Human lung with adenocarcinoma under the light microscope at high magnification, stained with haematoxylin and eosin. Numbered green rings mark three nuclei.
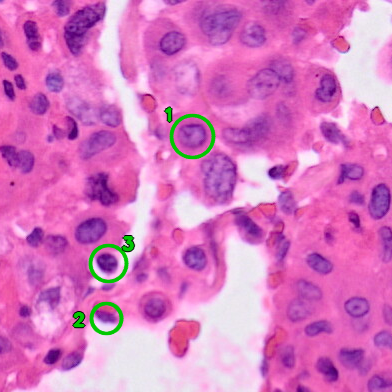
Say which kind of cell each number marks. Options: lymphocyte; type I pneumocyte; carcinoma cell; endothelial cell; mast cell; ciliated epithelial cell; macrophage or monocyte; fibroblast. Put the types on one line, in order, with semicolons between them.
macrophage or monocyte; endothelial cell; lymphocyte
